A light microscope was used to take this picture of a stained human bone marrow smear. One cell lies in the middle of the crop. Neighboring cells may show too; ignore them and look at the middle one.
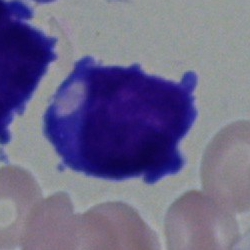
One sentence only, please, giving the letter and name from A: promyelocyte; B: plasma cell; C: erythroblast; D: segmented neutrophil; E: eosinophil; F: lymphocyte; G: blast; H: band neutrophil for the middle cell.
Option G is the keyed answer: the cell in the middle is a blast.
